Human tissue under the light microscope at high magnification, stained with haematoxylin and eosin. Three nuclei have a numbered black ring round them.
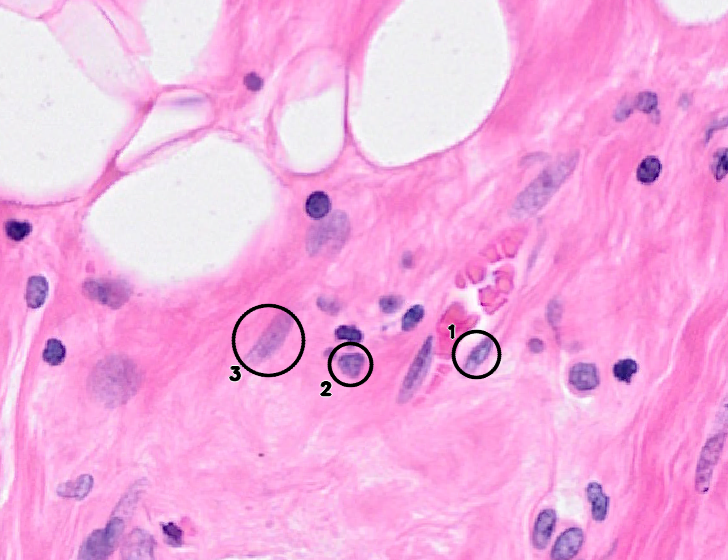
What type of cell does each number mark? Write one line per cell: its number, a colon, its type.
1: endothelial cell
2: lymphocyte
3: fibroblast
